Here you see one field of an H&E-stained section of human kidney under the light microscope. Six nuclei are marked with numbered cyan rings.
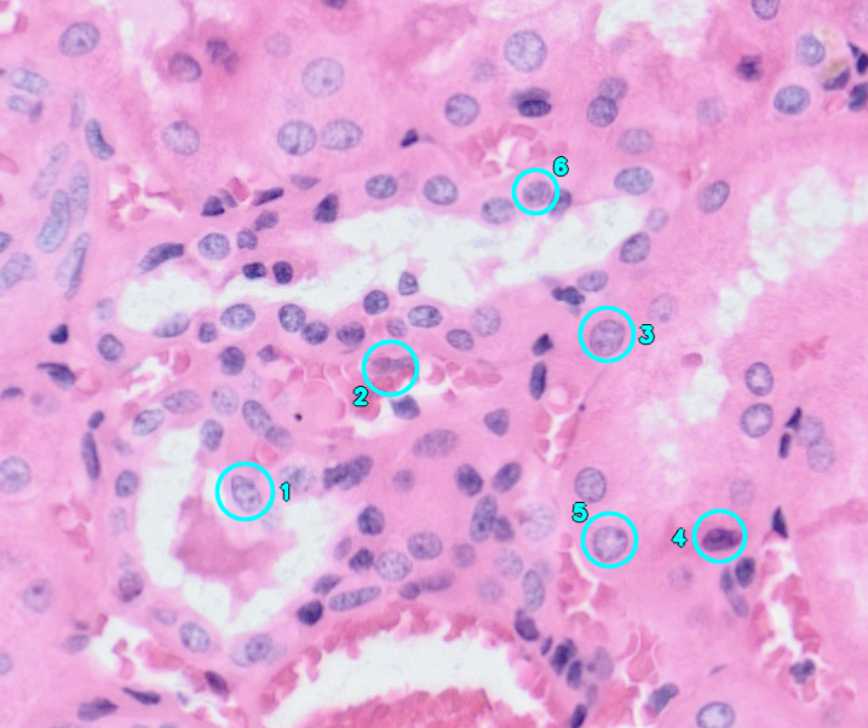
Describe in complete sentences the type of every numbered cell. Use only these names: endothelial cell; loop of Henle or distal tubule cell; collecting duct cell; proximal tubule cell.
Cells 1 and 6 are collecting duct cells. Cell 2 is an endothelial cell. Cells 3, 4 and 5 are proximal tubule cells.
